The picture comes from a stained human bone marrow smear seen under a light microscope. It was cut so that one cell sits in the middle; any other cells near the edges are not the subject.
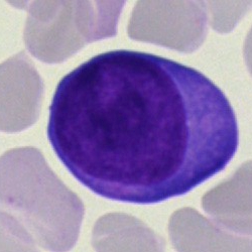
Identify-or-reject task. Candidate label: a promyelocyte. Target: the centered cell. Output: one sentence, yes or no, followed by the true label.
No, the identification should read a blast, not a promyelocyte, for the central cell.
